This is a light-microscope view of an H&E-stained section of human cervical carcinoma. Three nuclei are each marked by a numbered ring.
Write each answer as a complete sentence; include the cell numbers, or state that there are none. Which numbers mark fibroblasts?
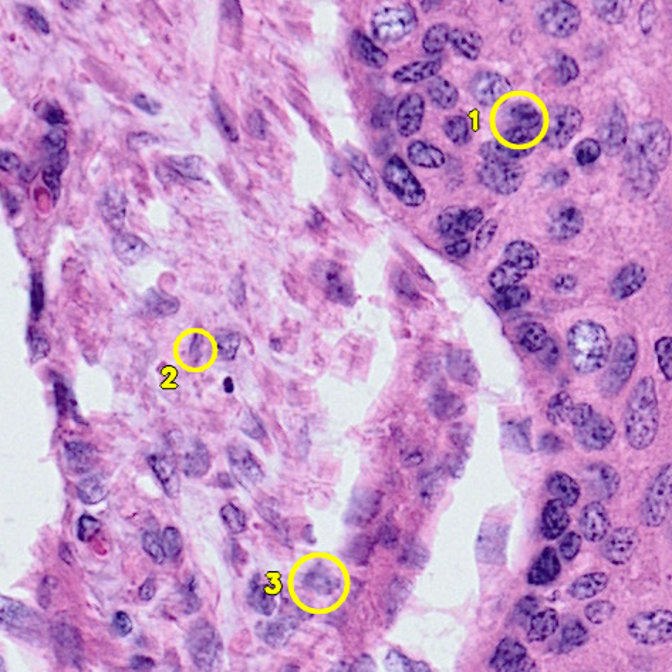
The cells with numbers 2 and 3 are fibroblasts by type.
